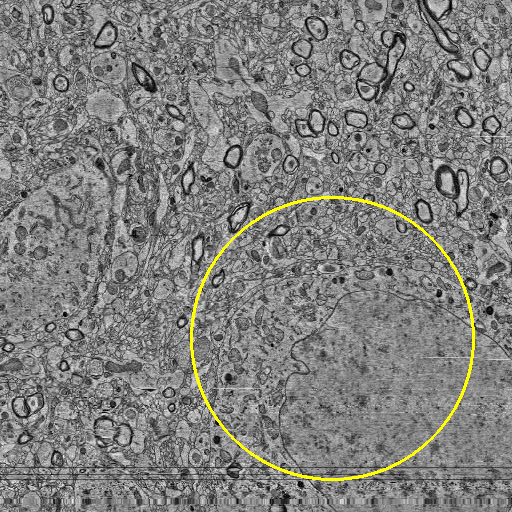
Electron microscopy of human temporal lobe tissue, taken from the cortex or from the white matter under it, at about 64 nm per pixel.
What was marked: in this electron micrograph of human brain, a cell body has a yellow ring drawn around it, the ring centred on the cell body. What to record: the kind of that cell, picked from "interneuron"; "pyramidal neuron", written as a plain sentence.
The centred cell is a pyramidal neuron.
